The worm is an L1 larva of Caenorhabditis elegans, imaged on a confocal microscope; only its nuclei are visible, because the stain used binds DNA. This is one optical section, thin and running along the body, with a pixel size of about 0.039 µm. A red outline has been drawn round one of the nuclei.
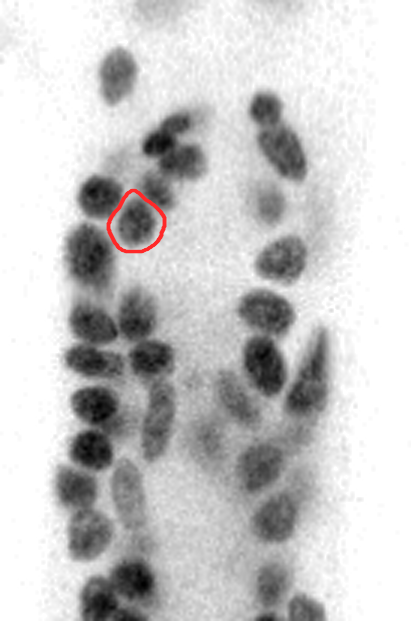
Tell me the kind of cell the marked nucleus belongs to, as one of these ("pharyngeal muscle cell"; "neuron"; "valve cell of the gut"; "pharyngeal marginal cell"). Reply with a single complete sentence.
The marked nucleus belongs to a pharyngeal marginal cell.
